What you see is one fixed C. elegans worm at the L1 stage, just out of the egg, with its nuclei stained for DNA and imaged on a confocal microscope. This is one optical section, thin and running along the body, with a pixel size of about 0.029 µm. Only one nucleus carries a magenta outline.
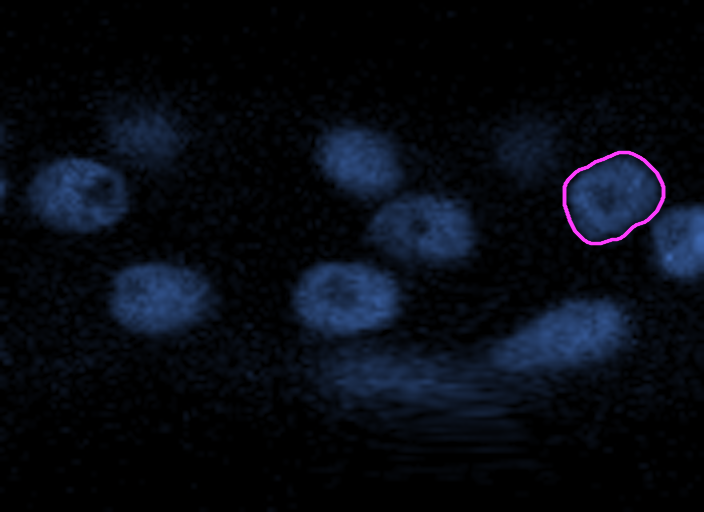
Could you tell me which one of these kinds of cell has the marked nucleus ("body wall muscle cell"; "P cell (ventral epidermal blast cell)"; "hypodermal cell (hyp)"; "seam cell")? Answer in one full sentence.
The marked cell is a hypodermal cell (hyp).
